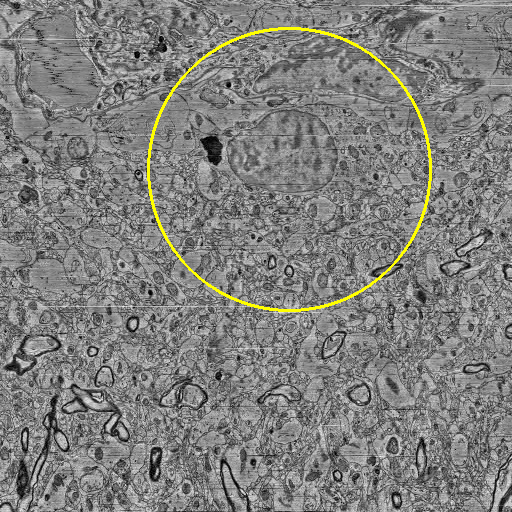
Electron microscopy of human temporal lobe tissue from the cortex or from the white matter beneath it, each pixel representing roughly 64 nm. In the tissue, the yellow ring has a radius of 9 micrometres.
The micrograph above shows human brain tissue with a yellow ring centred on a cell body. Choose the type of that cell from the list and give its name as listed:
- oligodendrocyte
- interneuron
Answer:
oligodendrocyte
